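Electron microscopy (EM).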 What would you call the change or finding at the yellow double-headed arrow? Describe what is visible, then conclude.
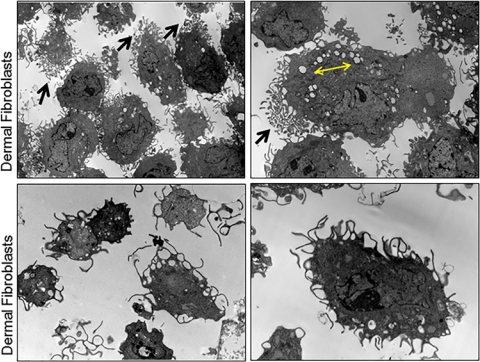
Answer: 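The yellow double-headed arrow spans cytoplasm with many pale, round, empty-looking spaces. The pale spaces are enclosed within the cell outline. On this evidence: intracellular vacuolization.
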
